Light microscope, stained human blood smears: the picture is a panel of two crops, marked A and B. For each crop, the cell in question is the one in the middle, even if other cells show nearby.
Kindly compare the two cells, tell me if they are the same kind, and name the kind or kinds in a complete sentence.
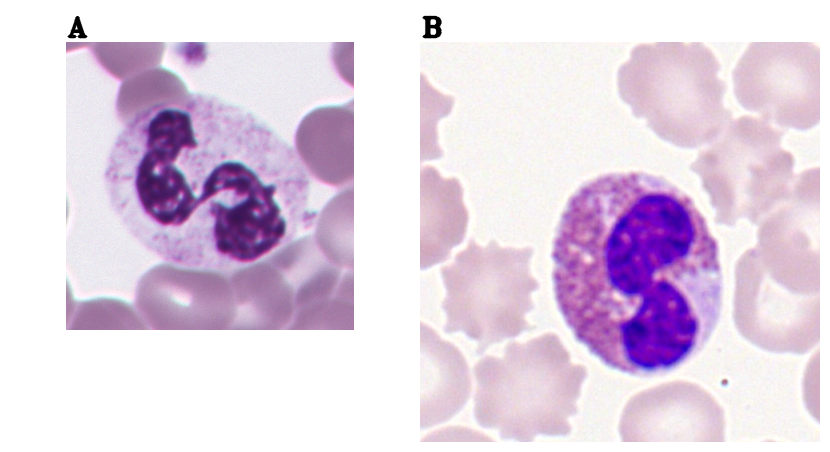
No, an eosinophil is depicted in crop B, whereas a segmented neutrophil is depicted in crop A.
